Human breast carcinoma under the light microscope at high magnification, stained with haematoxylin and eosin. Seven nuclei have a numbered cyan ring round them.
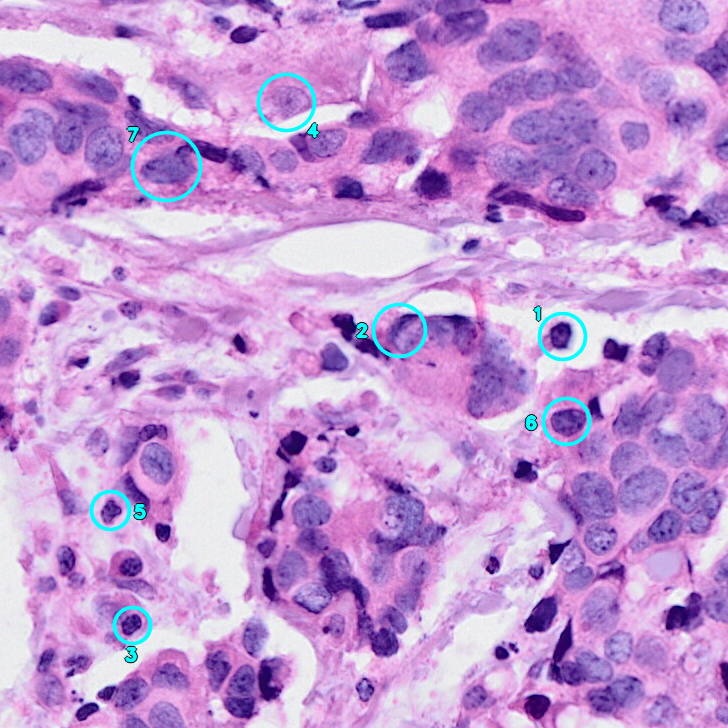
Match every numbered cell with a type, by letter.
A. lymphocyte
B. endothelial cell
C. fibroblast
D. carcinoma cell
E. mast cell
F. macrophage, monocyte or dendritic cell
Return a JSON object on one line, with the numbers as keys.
{"1": "D", "2": "D", "3": "A", "4": "C", "5": "A", "6": "D", "7": "D"}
